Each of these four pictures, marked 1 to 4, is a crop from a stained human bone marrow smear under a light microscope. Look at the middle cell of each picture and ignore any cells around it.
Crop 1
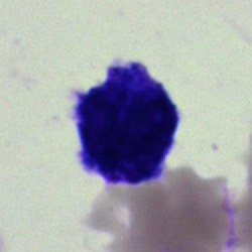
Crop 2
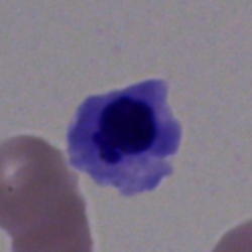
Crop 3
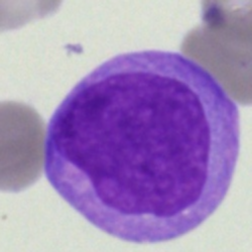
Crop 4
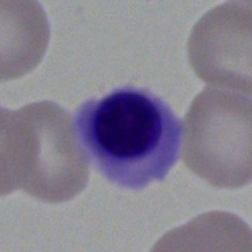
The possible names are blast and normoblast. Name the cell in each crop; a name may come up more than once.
1: blast
2: normoblast
3: blast
4: normoblast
